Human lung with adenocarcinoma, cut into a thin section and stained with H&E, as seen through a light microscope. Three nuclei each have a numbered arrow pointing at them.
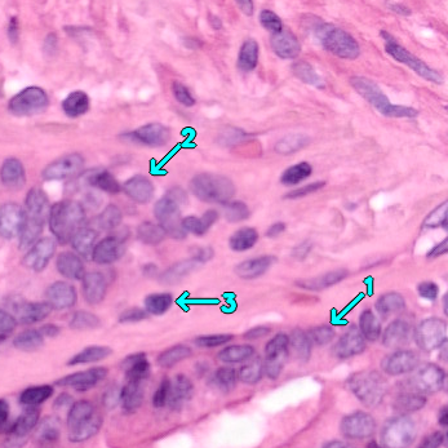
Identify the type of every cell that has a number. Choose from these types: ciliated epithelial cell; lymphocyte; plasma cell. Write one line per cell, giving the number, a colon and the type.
1: ciliated epithelial cell
2: ciliated epithelial cell
3: lymphocyte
